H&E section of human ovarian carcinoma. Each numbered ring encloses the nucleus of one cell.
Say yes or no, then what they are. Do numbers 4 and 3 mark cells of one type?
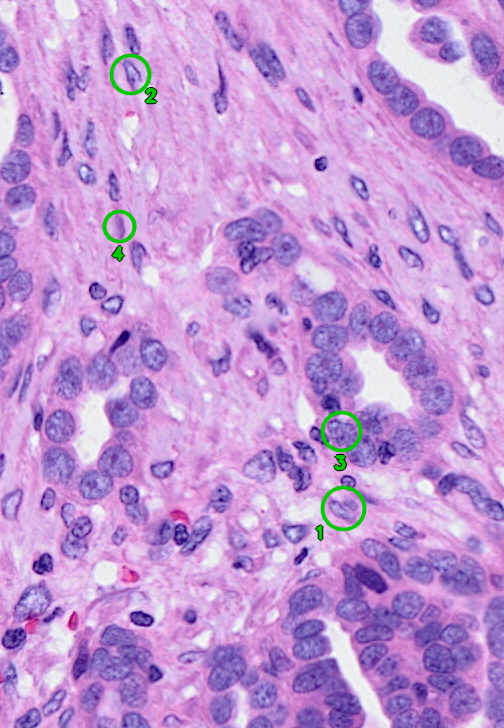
No, cell 3 is a carcinoma cell, but cell 4 is a fibroblast.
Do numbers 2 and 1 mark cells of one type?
Yes, that cells 2 and 1 are both fibroblasts holds true.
